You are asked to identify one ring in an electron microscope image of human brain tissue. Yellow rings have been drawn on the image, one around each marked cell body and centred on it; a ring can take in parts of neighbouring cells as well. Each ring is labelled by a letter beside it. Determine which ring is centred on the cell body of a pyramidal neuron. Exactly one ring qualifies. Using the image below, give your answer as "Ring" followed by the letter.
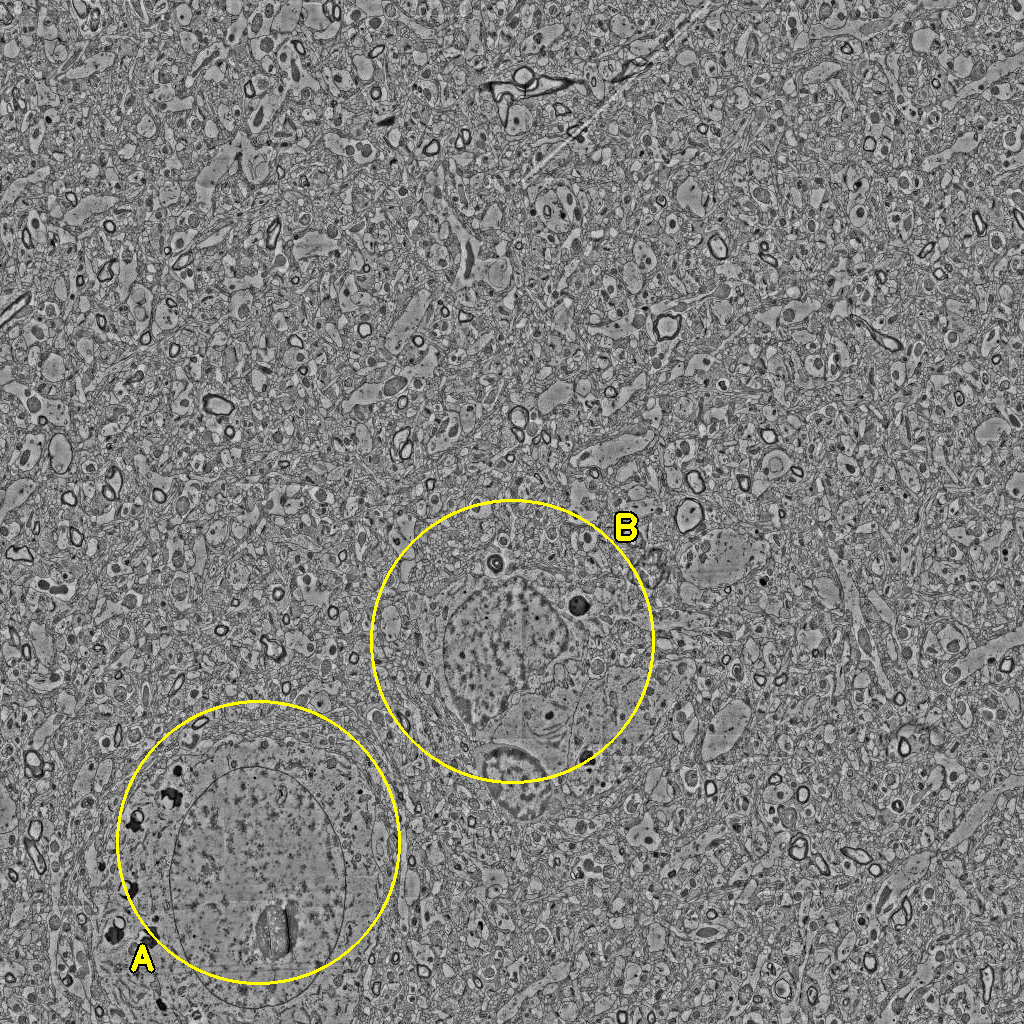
Ring A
